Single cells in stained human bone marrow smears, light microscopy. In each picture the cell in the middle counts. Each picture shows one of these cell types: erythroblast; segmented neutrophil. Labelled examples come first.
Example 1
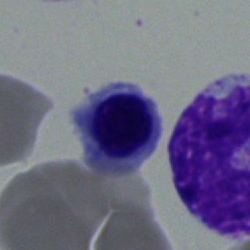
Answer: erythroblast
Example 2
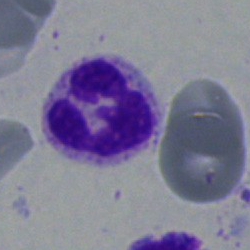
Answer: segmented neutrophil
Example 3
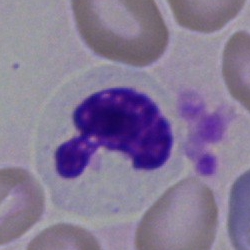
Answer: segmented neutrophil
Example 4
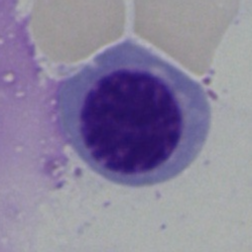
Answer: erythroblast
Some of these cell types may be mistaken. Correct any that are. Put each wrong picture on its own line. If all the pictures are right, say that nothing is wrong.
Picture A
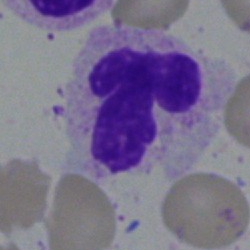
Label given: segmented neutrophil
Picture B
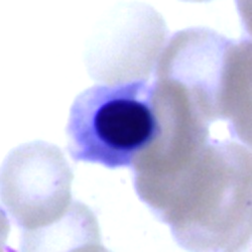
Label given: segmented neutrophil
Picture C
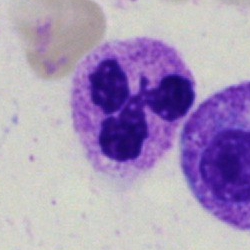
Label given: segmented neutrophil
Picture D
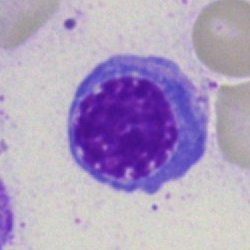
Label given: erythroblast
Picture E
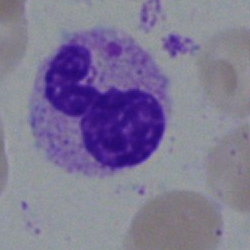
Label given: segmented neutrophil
B: change segmented neutrophil to erythroblast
